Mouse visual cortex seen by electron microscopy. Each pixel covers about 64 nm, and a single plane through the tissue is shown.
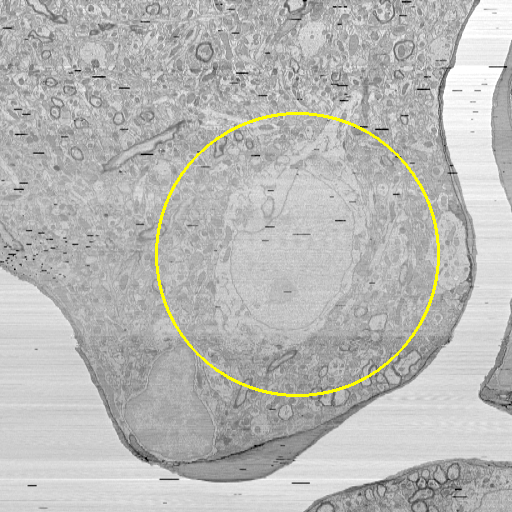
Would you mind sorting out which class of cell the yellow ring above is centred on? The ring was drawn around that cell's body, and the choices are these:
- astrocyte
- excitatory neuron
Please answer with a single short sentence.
This is the cell body of an excitatory neuron.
